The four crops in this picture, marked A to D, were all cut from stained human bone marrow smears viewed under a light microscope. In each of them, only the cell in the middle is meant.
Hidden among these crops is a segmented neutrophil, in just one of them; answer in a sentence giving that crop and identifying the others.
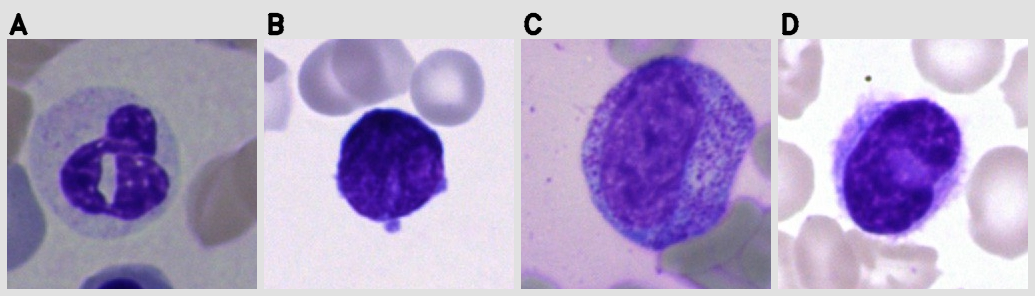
While crop B is a blast, crop C is a myelocyte and crop D is a hairy cell, crop A shows a segmented neutrophil.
